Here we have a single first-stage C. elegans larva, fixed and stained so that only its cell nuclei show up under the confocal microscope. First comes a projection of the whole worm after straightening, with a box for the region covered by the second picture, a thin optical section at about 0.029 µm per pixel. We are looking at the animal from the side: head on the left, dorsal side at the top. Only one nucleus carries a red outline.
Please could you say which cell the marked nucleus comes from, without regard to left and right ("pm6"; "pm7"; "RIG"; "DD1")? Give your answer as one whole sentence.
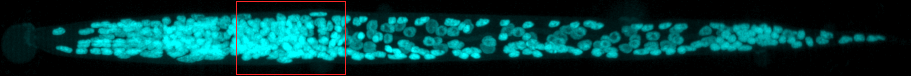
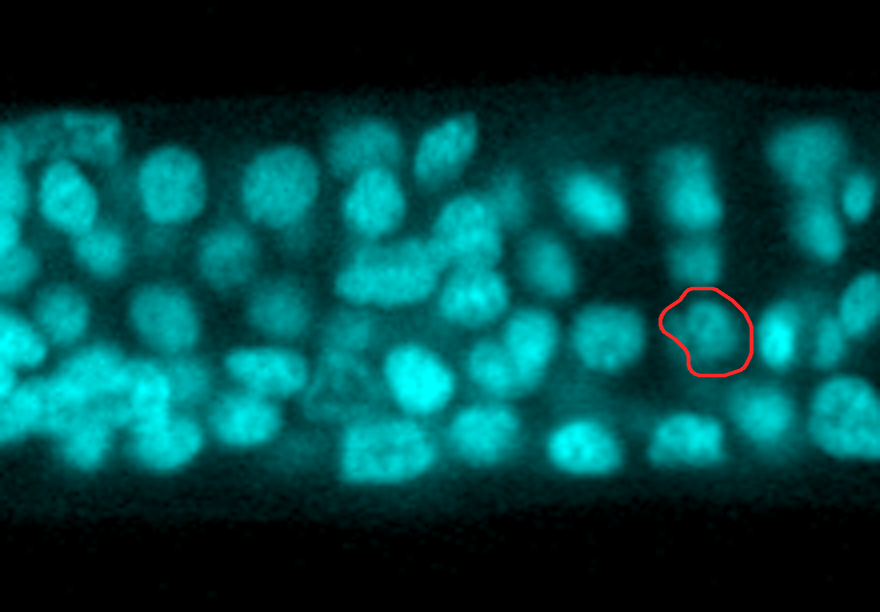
It is the nucleus of pm7, a pharyngeal muscle cell.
